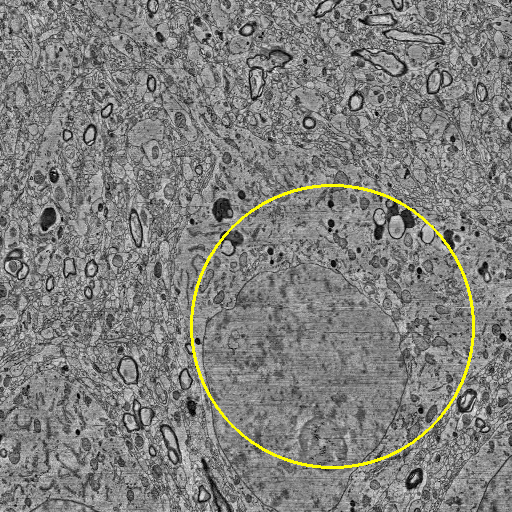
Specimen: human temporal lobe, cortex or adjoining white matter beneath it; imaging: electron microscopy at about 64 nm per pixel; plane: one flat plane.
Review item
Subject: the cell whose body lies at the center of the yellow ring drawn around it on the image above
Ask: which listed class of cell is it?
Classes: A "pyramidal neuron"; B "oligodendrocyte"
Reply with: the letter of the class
A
